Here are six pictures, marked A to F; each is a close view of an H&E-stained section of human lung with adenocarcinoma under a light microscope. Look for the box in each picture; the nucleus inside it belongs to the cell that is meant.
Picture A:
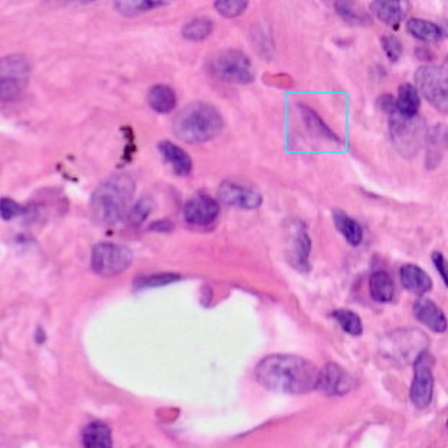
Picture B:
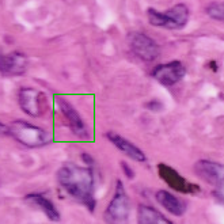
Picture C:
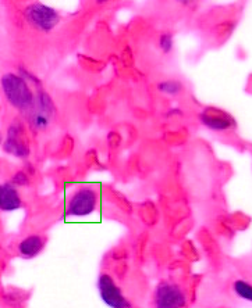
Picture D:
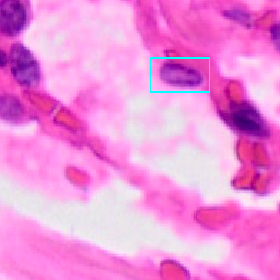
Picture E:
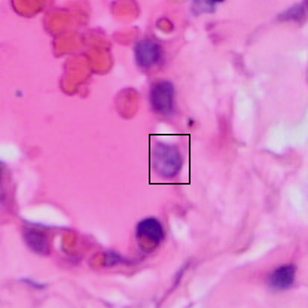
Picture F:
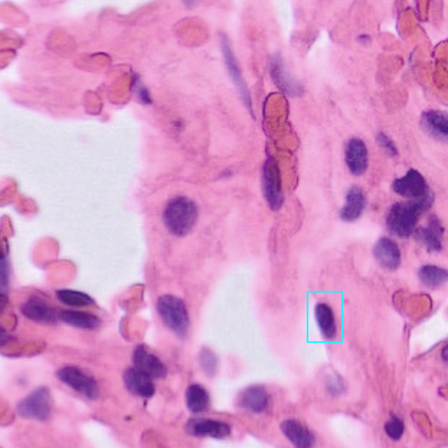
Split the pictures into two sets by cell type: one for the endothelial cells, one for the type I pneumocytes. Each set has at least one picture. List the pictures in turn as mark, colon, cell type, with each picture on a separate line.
A: endothelial cell
B: endothelial cell
C: type I pneumocyte
D: type I pneumocyte
E: type I pneumocyte
F: type I pneumocyte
